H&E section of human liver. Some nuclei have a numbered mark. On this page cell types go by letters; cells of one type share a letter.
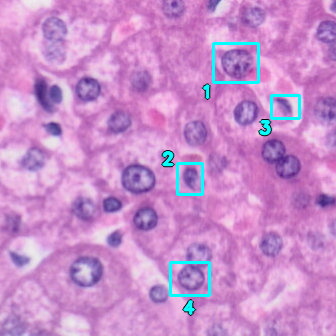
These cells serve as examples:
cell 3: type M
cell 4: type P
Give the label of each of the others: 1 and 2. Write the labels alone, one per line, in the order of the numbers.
type P
type M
